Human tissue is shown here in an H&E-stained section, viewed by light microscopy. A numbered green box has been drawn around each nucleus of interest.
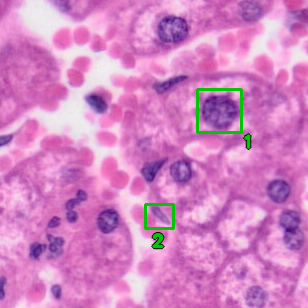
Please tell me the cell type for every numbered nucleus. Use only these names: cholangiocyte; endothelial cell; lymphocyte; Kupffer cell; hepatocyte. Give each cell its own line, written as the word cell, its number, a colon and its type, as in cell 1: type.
cell 1: hepatocyte
cell 2: endothelial cell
